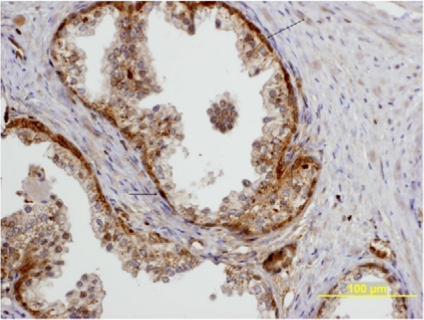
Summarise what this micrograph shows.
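Prostate glands are seen in fibromuscular stroma with pale blue nuclei. The epithelium folds into the lumen, and loose cells lie within it. The luminal cells have brown cytoplasm. A thin outer layer of flattened basal cells, sitting against the stroma, is stained a deeper brown than the rest of the lining.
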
